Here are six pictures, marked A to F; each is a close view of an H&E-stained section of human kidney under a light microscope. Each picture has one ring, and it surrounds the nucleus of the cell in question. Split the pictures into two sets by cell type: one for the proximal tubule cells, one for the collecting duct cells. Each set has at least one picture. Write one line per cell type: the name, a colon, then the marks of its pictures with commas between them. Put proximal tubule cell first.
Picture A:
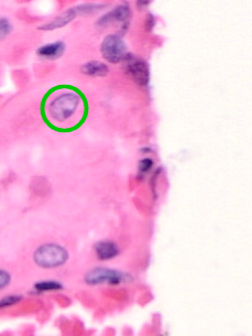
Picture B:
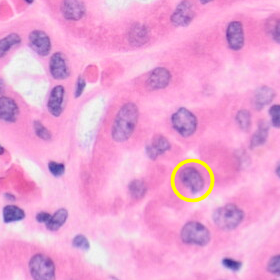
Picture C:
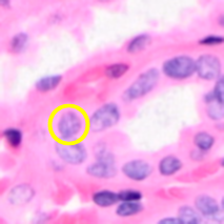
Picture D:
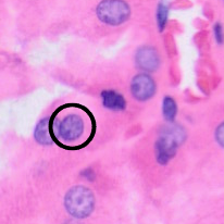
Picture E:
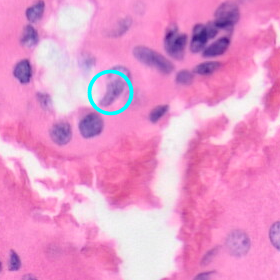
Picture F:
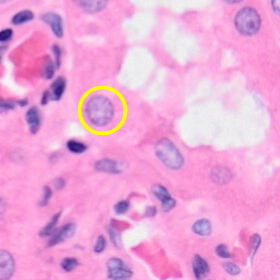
proximal tubule cell: A, B, D, F
collecting duct cell: C, E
